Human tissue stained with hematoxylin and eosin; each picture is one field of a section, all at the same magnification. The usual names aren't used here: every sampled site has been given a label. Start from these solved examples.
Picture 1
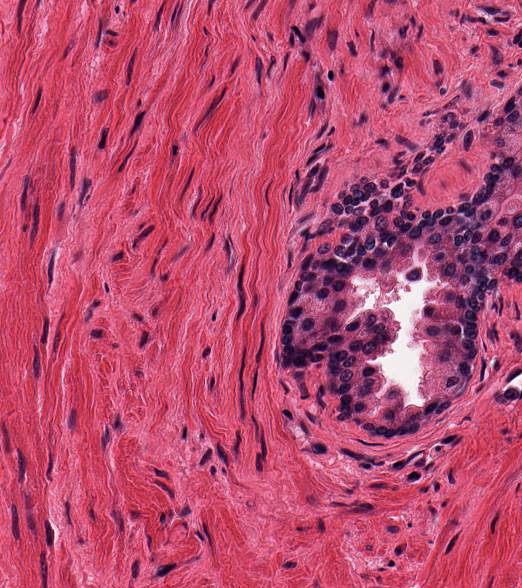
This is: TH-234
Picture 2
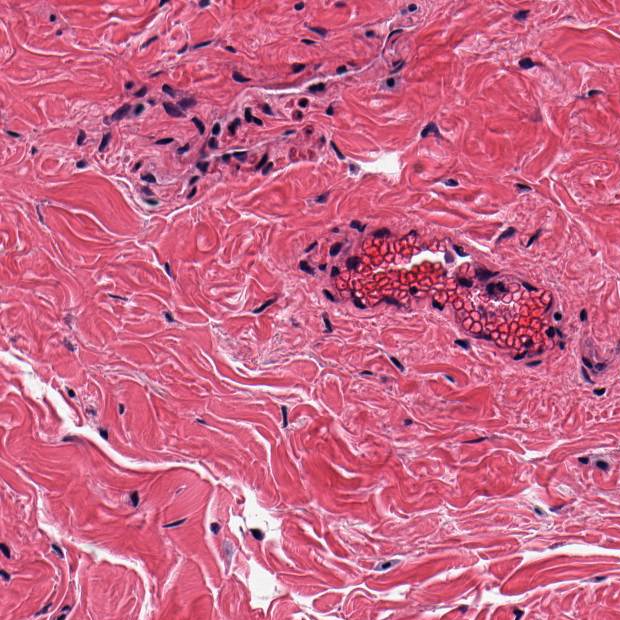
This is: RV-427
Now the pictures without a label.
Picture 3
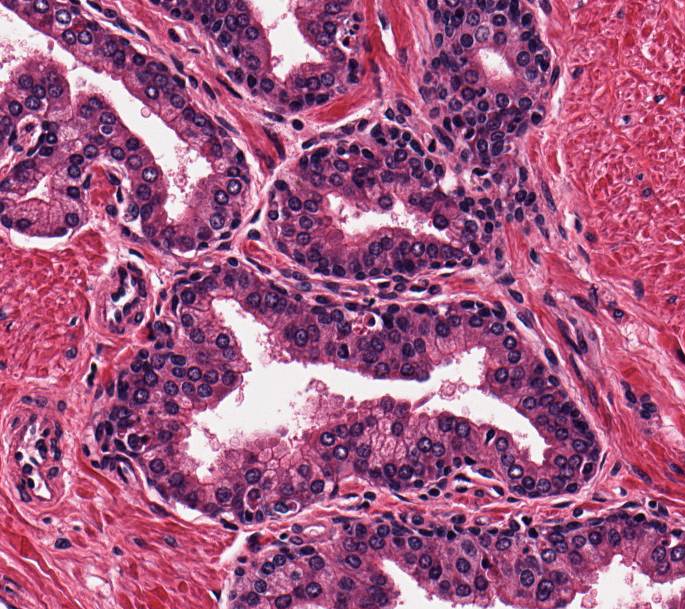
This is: TH-234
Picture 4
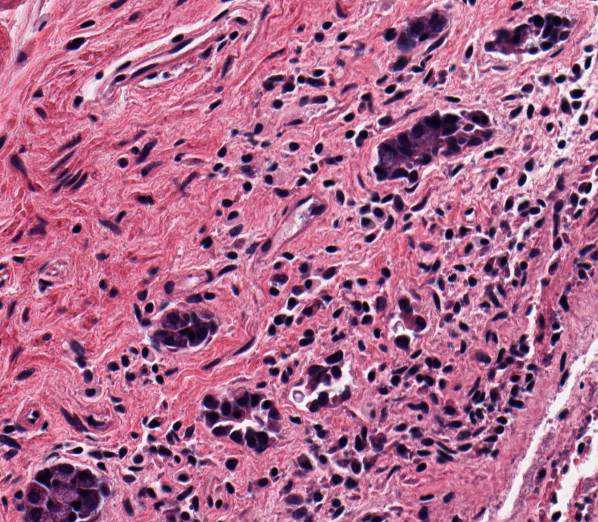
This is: RV-427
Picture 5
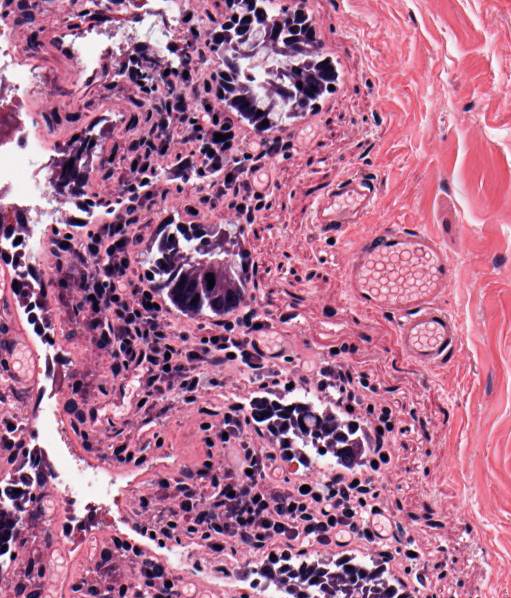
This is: RV-427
